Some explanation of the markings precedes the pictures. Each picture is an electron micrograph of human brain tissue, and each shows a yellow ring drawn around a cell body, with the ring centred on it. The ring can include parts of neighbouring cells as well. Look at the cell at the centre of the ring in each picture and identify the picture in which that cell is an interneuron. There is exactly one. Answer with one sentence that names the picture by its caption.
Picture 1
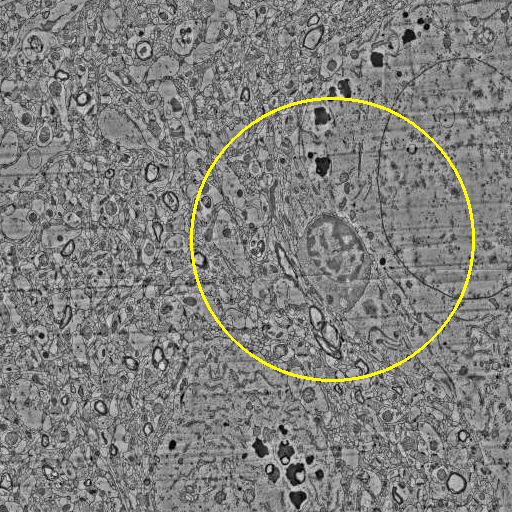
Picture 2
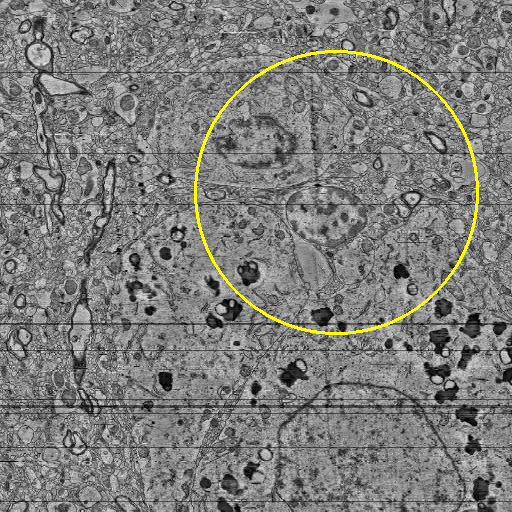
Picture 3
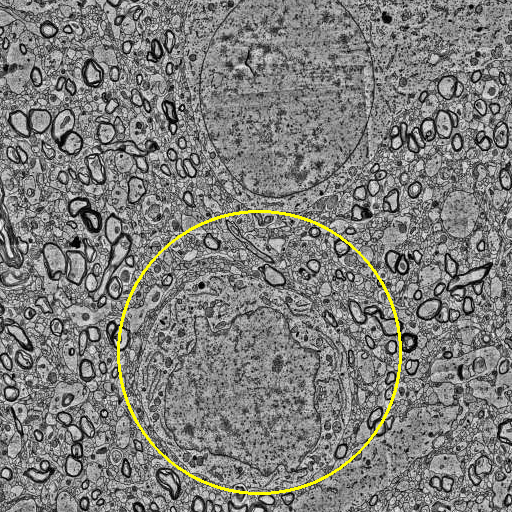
In Picture 3, the cell at the centre of the ring is of that kind.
